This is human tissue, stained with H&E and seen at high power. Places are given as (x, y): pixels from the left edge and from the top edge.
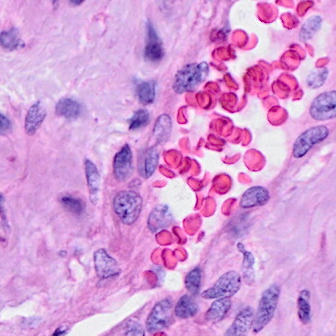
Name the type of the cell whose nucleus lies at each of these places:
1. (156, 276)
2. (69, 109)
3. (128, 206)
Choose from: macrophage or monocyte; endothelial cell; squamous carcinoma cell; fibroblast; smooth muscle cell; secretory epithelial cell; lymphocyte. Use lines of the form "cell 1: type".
cell 1: endothelial cell
cell 2: fibroblast
cell 3: endothelial cell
